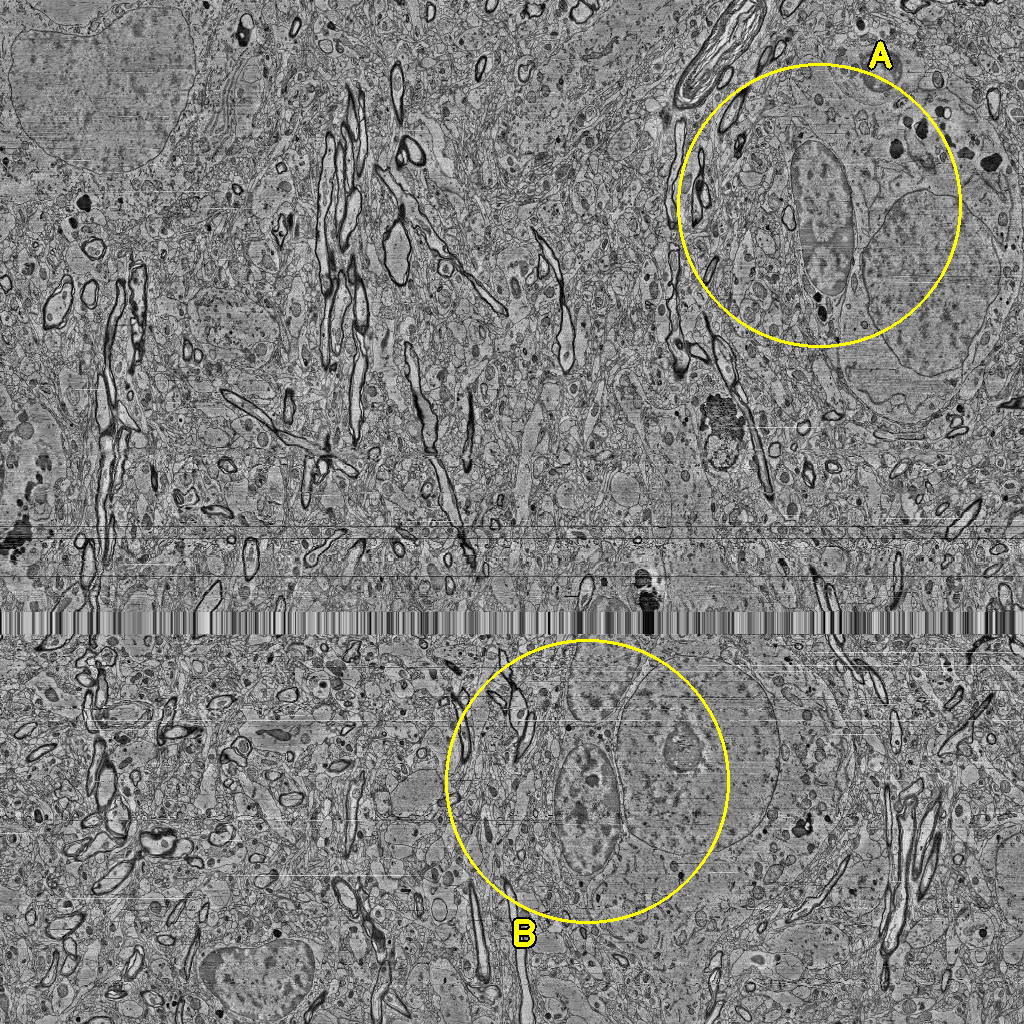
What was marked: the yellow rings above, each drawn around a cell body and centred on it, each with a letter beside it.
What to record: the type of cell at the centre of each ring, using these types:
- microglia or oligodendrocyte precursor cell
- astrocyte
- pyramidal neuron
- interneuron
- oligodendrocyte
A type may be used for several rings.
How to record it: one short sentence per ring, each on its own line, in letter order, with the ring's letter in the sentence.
Centred in ring A is a microglial cell or oligodendrocyte precursor cell.
Centred in ring B is an oligodendrocyte.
